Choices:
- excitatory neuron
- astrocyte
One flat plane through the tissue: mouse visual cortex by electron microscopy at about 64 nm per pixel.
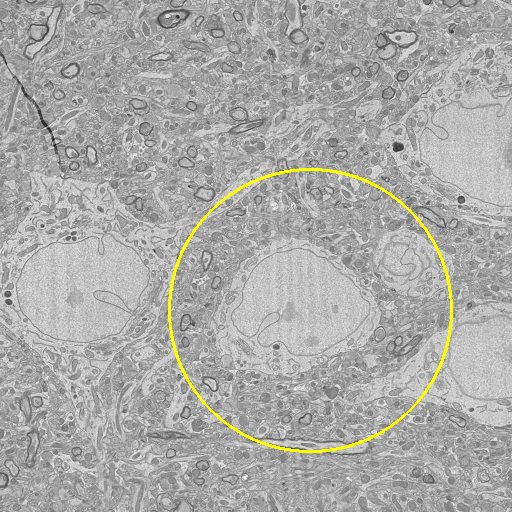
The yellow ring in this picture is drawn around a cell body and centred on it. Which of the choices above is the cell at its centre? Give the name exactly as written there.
excitatory neuron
